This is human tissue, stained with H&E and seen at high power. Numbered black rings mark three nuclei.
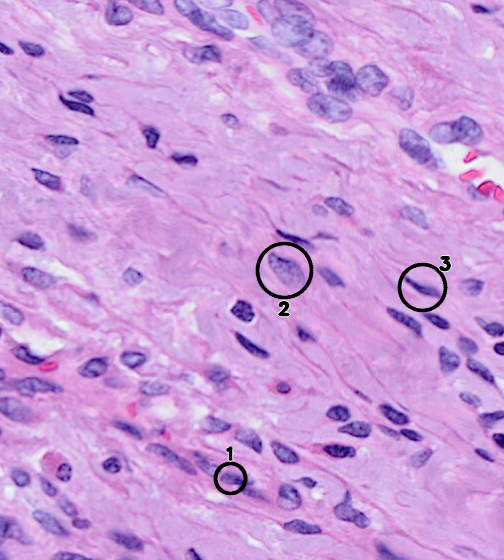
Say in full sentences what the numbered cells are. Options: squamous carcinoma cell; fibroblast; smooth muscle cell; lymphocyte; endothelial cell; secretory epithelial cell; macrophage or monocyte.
Cell 1 is an endothelial cell, cell 2 is a fibroblast and cell 3 is a fibroblast.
